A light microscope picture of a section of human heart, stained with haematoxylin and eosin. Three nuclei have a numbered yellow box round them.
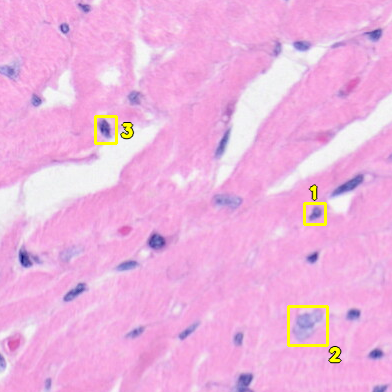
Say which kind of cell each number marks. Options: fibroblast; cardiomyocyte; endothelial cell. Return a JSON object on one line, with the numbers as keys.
{"1": "fibroblast", "2": "cardiomyocyte", "3": "endothelial cell"}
